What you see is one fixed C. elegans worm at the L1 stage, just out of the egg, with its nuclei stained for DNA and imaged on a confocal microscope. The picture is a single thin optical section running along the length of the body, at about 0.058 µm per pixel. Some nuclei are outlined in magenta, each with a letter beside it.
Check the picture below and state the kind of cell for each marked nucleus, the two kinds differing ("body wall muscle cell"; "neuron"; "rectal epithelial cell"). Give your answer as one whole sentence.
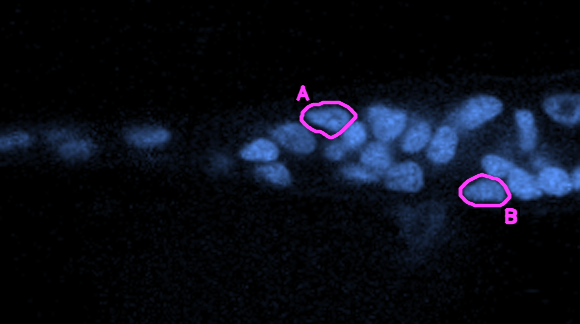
B belongs to a rectal epithelial cell, and A to a body wall muscle cell.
